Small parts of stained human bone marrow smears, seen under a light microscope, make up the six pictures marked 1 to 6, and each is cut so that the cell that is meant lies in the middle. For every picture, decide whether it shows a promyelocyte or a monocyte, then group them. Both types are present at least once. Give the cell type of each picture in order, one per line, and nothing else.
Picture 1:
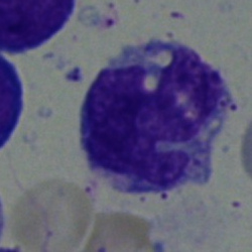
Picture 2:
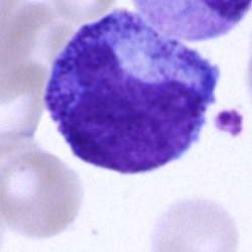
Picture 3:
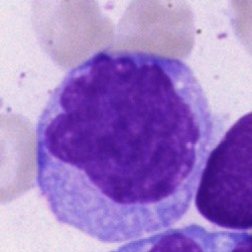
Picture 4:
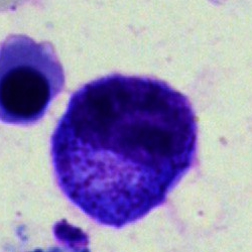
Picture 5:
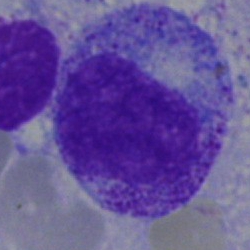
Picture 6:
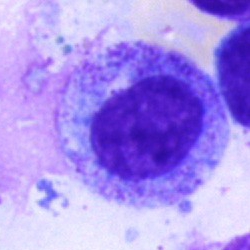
monocyte
promyelocyte
monocyte
promyelocyte
promyelocyte
promyelocyte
